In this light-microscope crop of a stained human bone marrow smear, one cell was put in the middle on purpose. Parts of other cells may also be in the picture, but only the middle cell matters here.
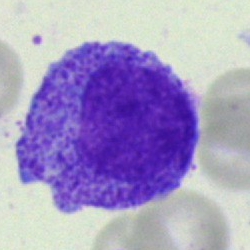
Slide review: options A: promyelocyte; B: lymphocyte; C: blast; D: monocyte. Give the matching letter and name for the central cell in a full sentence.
In this crop the middle cell is a promyelocyte, so option A is the correct answer.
